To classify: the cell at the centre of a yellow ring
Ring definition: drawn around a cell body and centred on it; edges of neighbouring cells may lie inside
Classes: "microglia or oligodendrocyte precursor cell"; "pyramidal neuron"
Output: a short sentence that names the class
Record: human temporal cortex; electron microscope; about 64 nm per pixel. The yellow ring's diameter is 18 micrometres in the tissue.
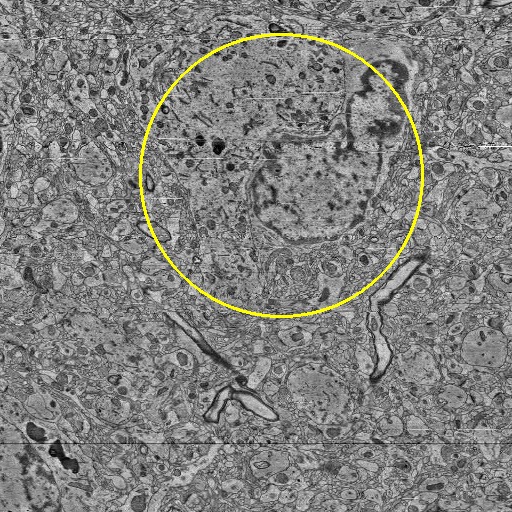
The ringed cell is a microglial cell or oligodendrocyte precursor cell.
